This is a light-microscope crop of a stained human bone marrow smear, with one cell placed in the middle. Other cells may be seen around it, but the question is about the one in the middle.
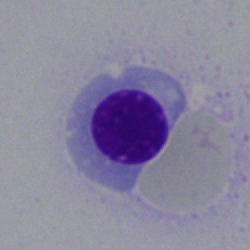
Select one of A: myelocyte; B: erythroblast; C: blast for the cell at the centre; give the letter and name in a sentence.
The cell at the heart of the crop is an erythroblast, so choose option B.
